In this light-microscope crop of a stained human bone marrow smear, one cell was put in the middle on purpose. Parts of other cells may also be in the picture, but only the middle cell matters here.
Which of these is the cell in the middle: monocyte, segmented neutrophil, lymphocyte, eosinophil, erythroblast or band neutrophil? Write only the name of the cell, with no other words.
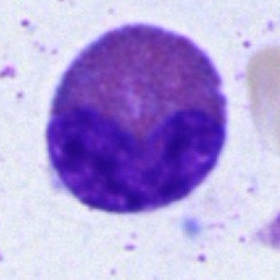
eosinophil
